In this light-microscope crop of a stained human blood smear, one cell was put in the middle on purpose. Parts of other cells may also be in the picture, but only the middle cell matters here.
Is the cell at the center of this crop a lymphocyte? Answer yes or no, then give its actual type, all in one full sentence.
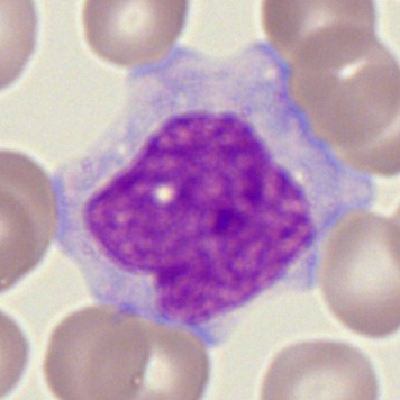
No, the middle cell is classified as a monocyte and not as a lymphocyte.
